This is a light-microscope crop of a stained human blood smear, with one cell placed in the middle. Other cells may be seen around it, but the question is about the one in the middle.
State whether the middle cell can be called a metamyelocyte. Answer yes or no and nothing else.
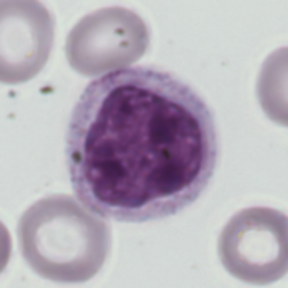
yes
